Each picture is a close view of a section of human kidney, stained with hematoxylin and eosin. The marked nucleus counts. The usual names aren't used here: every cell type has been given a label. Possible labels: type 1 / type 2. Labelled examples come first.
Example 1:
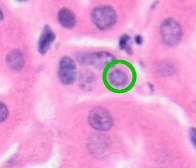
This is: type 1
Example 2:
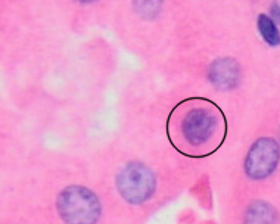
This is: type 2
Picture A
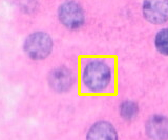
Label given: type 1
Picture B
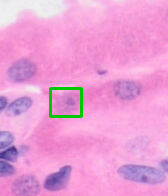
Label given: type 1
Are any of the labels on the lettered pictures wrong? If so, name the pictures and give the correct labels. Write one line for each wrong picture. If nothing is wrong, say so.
A should be type 2, not type 1
B should be type 2, not type 1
